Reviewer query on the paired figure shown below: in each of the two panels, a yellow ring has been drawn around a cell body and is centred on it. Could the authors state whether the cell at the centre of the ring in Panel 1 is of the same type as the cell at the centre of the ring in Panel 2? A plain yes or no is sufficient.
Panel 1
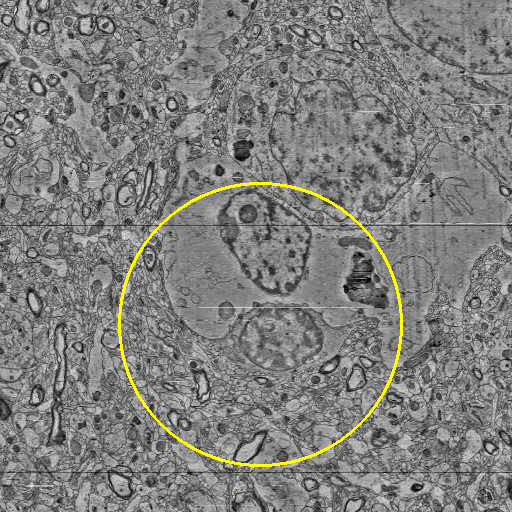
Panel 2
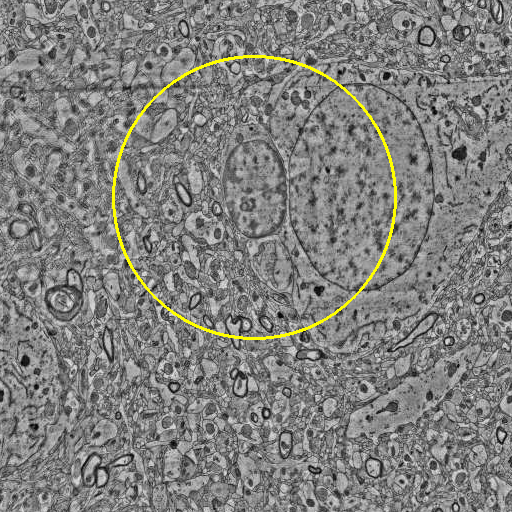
yes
